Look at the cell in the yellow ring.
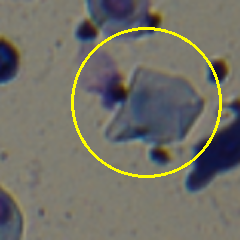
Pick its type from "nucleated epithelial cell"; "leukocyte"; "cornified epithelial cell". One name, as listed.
cornified epithelial cell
